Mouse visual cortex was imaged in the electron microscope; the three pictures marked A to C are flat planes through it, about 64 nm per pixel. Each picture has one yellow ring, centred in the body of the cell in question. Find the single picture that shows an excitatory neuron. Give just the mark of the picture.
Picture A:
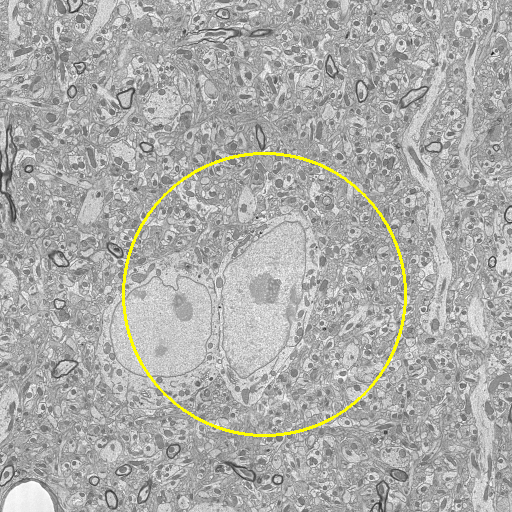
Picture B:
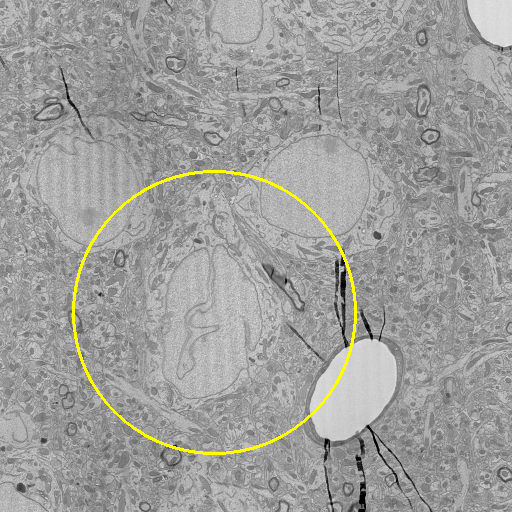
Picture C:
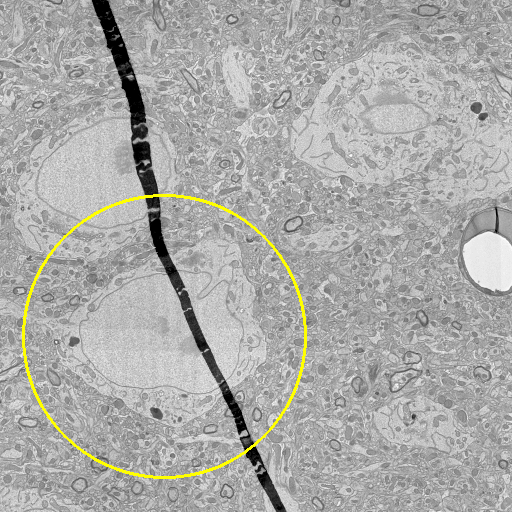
C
